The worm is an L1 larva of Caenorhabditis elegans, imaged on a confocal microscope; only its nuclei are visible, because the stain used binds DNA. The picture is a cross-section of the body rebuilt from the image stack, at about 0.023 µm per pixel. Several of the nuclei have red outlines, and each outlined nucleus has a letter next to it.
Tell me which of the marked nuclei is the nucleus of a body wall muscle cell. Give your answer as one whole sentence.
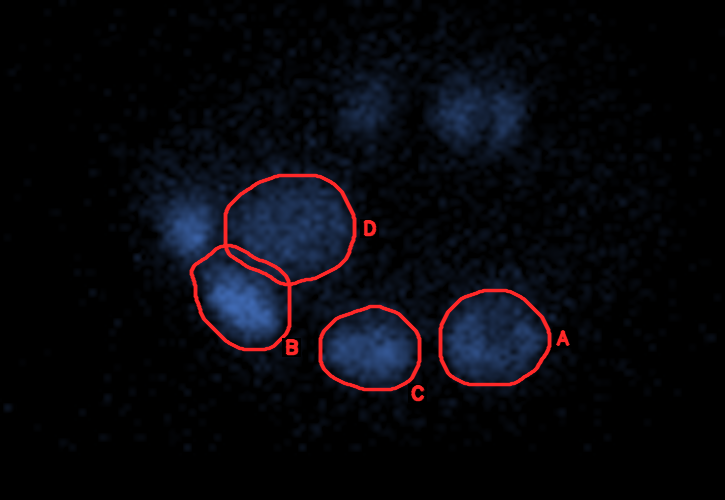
B is the one that belongs to a body wall muscle cell.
